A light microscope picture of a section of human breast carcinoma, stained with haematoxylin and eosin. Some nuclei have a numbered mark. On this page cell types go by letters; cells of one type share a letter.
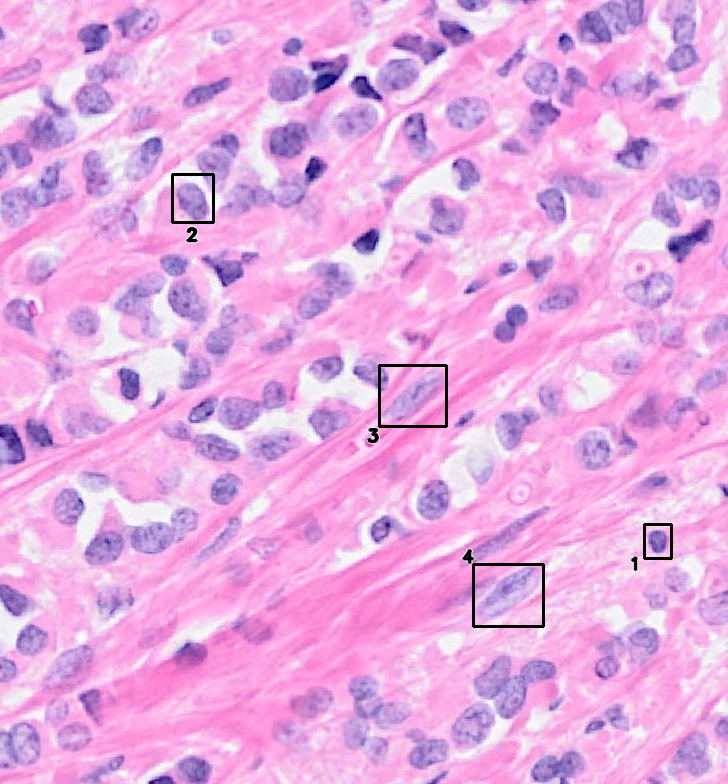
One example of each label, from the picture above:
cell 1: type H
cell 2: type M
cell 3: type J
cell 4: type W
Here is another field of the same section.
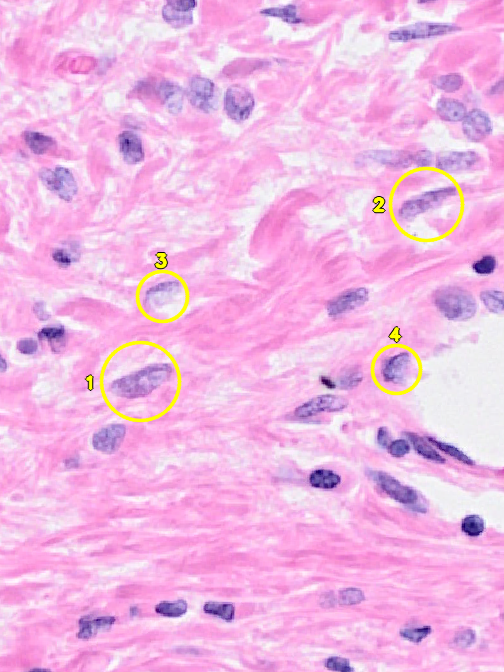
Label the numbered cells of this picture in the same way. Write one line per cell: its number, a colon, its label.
1: type W
2: type W
3: type W
4: type J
